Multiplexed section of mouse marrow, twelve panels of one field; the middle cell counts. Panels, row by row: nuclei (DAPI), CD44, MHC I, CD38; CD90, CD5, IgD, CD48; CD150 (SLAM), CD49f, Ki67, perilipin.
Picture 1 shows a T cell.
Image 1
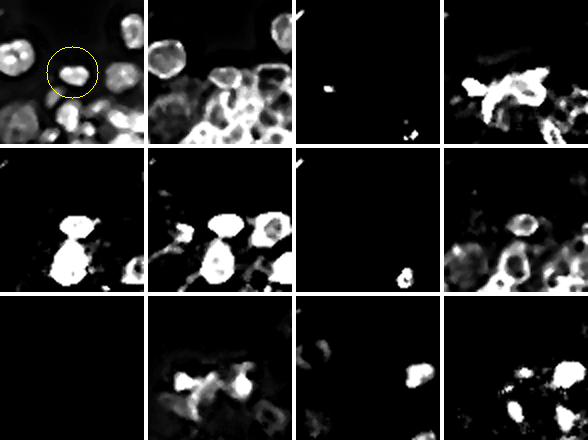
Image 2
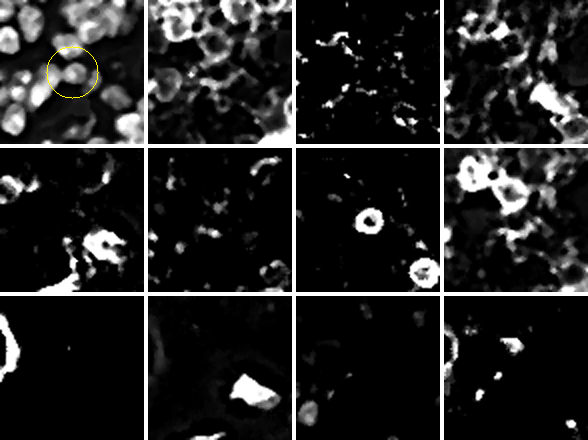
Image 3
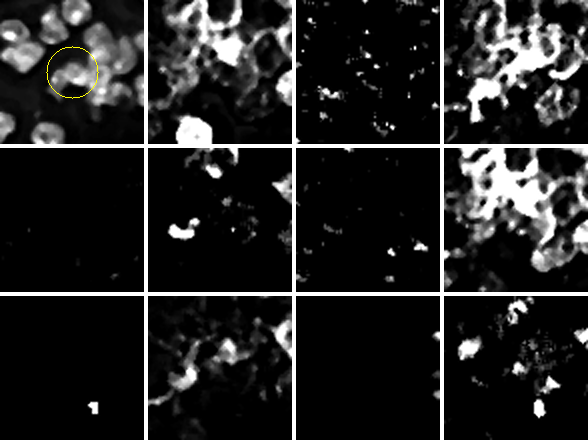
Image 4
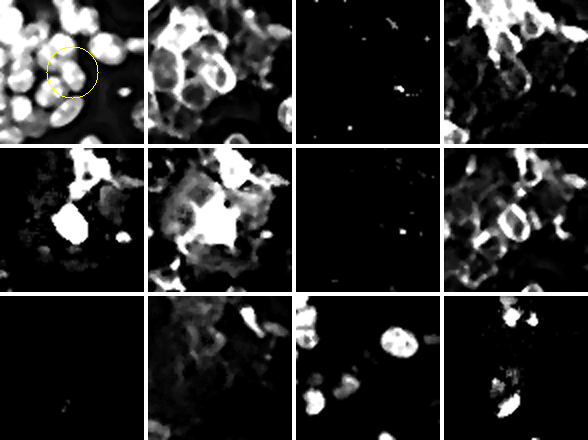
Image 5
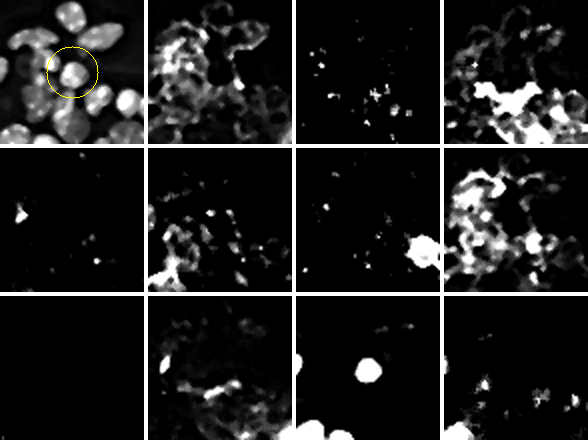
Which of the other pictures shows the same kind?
Picture 4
